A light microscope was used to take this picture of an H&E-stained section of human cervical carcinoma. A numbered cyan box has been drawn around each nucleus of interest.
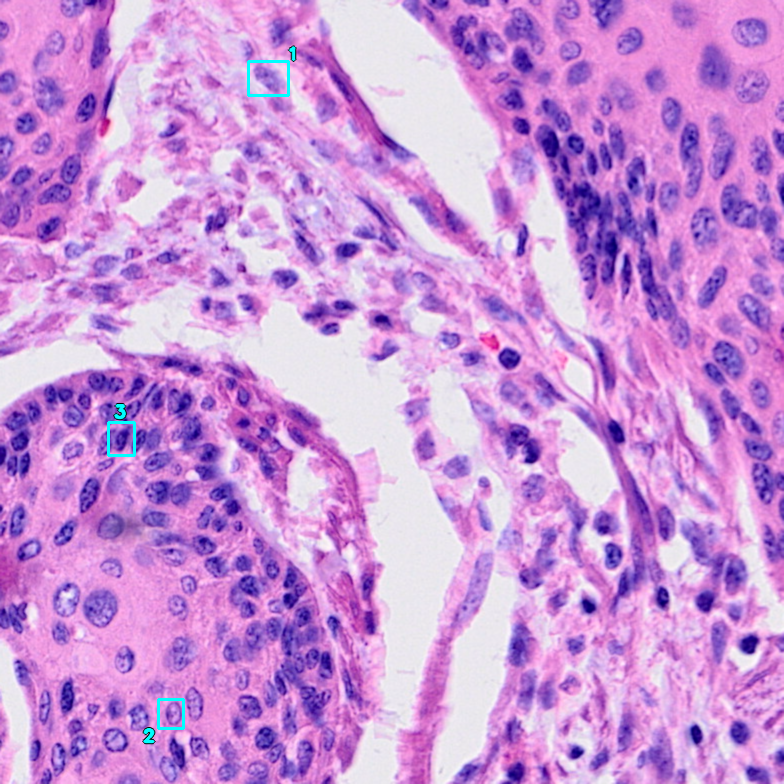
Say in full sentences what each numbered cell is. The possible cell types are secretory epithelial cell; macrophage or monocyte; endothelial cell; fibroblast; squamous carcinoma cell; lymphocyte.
Cell 1 is a fibroblast, cell 2 is a squamous carcinoma cell and cell 3 is a squamous carcinoma cell.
